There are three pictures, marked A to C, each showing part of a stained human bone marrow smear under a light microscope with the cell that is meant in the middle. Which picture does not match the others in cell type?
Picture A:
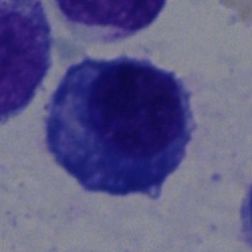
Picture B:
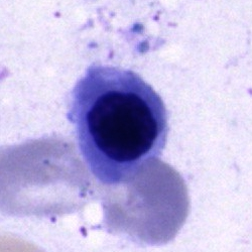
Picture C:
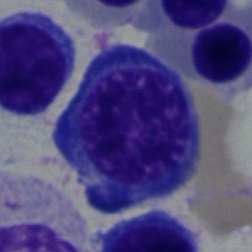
A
